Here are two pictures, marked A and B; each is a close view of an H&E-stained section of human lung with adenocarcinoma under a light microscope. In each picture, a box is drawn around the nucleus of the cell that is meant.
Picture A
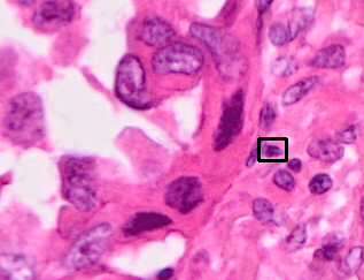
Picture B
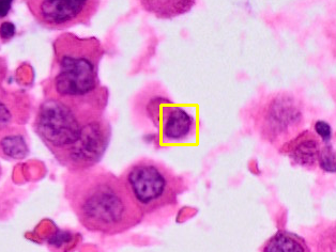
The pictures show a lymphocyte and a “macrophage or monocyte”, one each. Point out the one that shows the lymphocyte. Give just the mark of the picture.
A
